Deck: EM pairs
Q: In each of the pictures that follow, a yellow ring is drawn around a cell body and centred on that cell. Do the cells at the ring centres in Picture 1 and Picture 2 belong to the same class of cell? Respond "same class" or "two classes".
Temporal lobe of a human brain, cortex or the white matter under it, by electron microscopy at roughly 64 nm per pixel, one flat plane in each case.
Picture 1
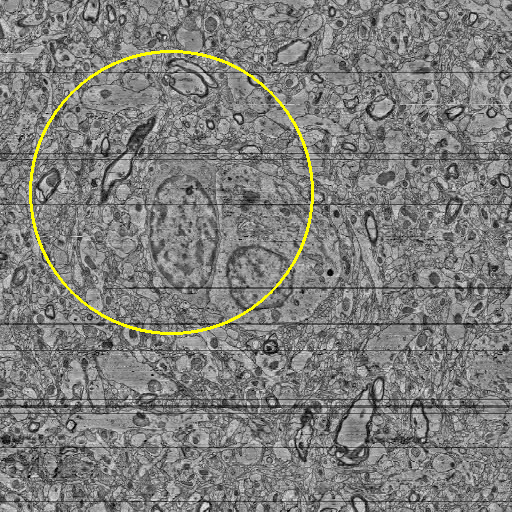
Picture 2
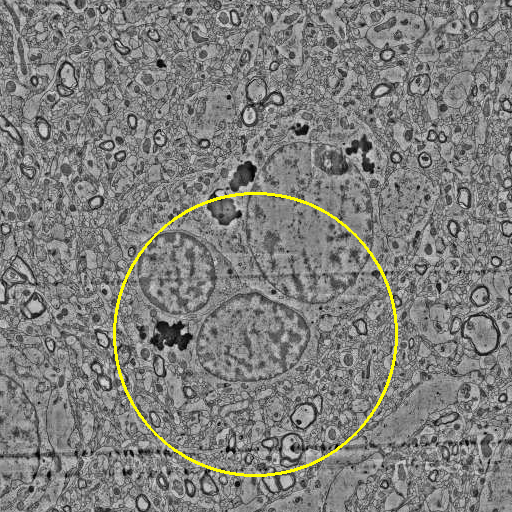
same class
